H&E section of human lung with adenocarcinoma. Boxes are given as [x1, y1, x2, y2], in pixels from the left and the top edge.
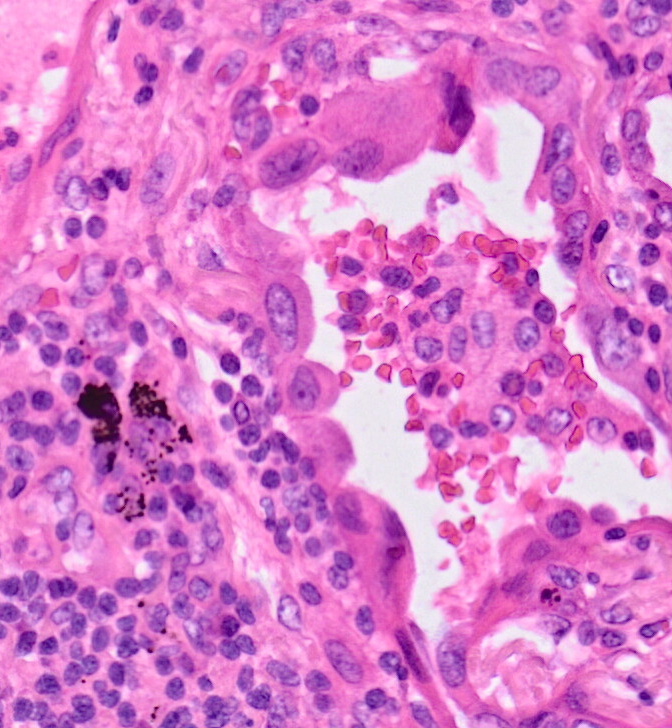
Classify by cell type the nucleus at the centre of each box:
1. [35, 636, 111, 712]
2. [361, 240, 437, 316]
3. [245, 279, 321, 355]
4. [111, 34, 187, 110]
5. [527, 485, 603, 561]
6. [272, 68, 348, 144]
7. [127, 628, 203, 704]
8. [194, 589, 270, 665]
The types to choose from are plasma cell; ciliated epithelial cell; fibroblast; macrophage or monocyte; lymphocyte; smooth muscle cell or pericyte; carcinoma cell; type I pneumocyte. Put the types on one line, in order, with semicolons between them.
lymphocyte; macrophage or monocyte; carcinoma cell; lymphocyte; carcinoma cell; lymphocyte; lymphocyte; plasma cell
